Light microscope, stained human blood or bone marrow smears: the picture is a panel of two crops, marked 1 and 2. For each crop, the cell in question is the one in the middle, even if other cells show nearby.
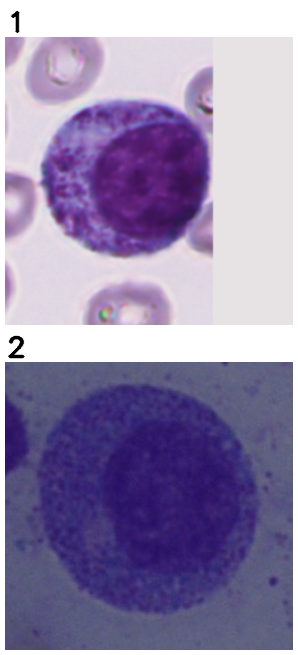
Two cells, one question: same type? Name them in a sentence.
Yes, in the middle of both crops lie myelocytes.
